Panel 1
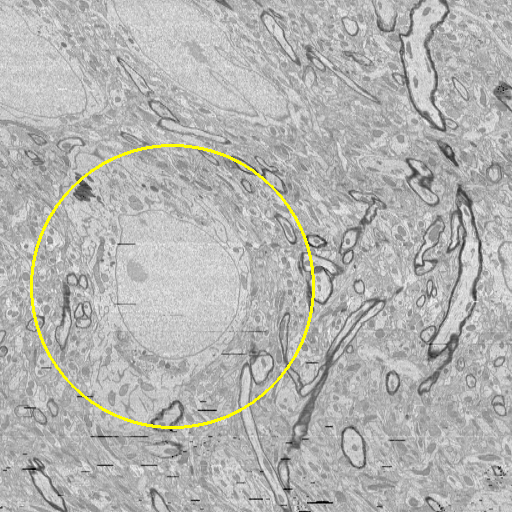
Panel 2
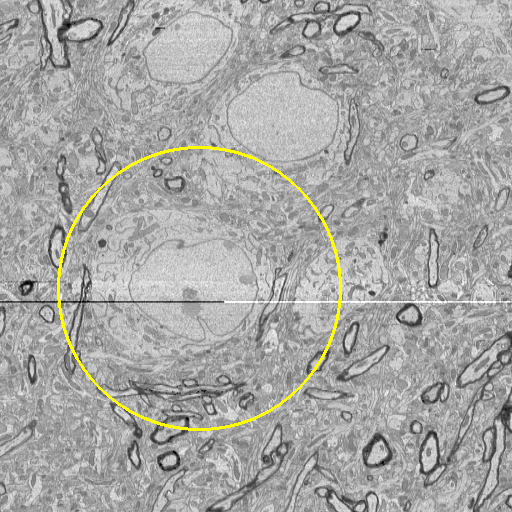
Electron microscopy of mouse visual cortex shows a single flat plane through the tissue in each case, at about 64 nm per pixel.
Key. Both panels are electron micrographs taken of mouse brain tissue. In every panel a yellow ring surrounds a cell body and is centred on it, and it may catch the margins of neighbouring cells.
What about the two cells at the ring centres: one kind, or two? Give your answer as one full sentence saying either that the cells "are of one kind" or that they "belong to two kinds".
Across Panels 1 and 2, the two cells at the ring centres are of one kind.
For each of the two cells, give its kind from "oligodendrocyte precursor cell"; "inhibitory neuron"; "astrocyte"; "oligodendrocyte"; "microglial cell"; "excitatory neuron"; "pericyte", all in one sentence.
The second cell is an excitatory neuron, just as the first is.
